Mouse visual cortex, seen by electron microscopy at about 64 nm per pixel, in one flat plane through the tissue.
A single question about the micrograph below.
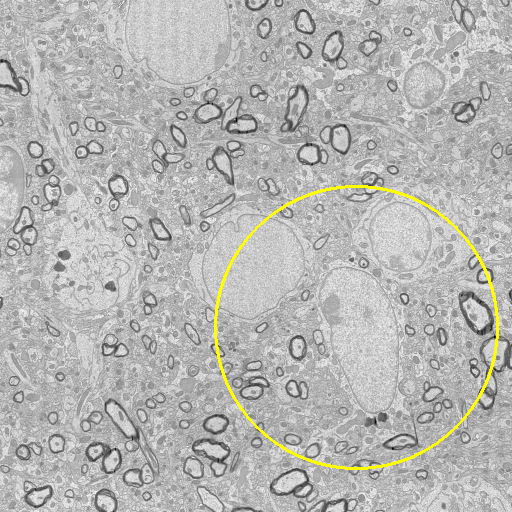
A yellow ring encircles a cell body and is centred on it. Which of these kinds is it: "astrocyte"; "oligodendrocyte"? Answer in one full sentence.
The cell body at the centre of the yellow ring belongs to an astrocyte.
